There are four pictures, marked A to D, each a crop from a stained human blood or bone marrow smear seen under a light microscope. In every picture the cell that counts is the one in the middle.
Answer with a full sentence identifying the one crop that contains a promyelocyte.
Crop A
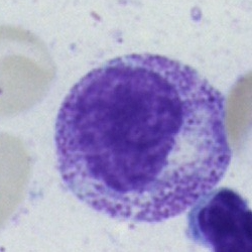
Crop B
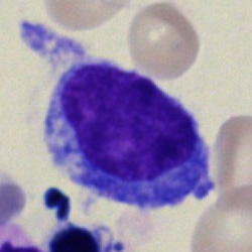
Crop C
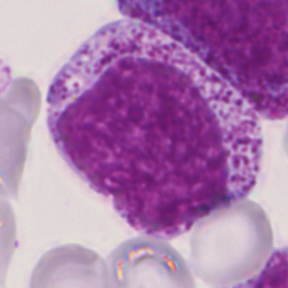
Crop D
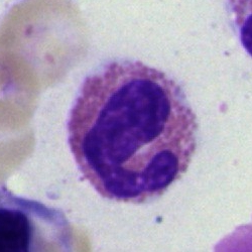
The one crop that shows a promyelocyte is crop C.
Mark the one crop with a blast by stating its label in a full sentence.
Crop B, and no other, shows a blast.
